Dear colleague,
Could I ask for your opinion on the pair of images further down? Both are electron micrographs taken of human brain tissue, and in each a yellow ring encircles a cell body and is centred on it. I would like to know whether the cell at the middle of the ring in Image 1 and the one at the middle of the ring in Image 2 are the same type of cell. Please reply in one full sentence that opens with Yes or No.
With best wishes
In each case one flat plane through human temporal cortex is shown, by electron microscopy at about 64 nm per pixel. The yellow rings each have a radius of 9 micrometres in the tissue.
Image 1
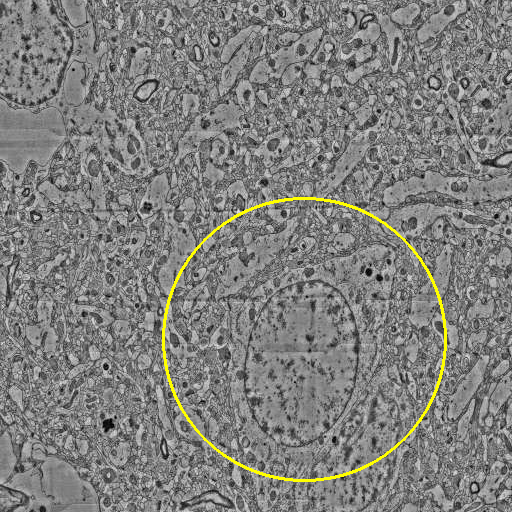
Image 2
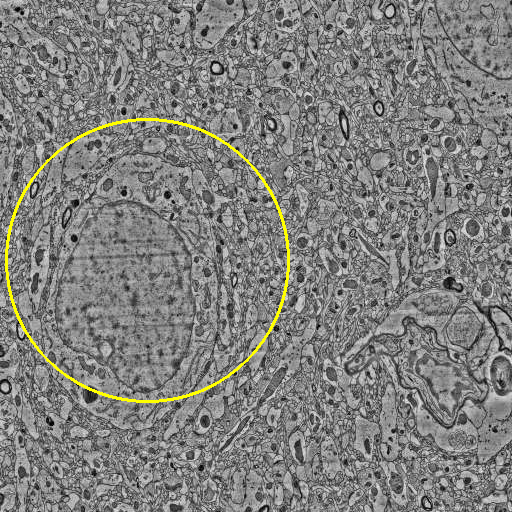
No, the cells at the ring centres in Image 1 and Image 2 are of two types.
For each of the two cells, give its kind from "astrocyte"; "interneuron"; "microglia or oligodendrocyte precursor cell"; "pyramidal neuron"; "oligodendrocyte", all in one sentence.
The first picture has a pyramidal neuron in its ring, the second has an interneuron.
